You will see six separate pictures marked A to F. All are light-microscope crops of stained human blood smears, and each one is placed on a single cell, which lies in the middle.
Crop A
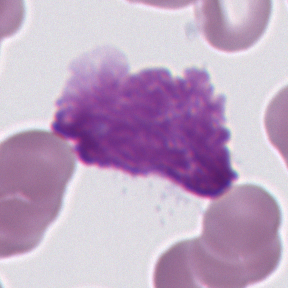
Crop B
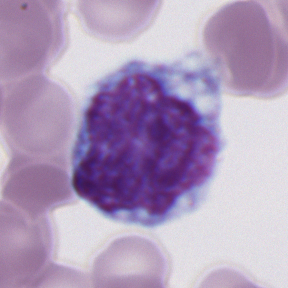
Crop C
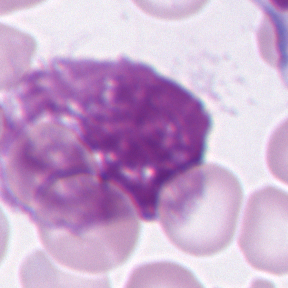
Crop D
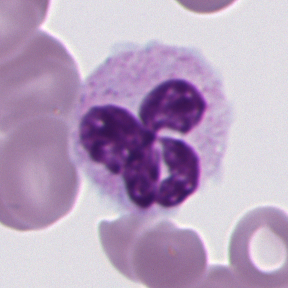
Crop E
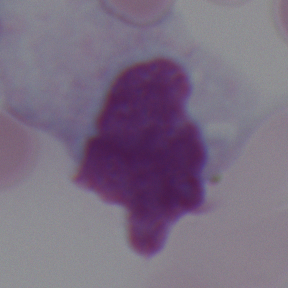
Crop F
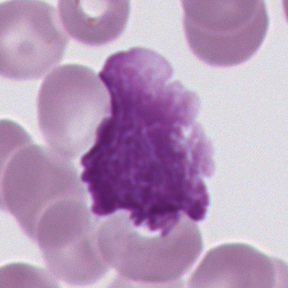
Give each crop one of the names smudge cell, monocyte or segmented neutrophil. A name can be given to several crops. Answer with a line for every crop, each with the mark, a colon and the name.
A: smudge cell
B: monocyte
C: smudge cell
D: segmented neutrophil
E: monocyte
F: smudge cell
